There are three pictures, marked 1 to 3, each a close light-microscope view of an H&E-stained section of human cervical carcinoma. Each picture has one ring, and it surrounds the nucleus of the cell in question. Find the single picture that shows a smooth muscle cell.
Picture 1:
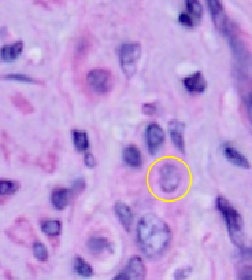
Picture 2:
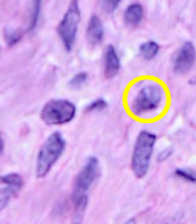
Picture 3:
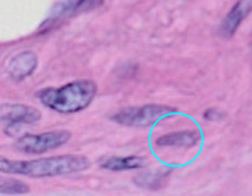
3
